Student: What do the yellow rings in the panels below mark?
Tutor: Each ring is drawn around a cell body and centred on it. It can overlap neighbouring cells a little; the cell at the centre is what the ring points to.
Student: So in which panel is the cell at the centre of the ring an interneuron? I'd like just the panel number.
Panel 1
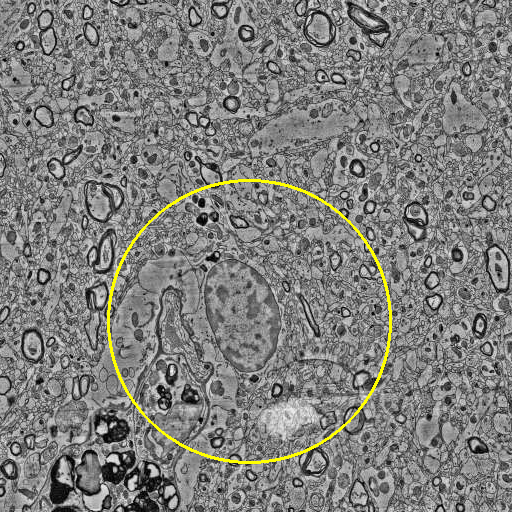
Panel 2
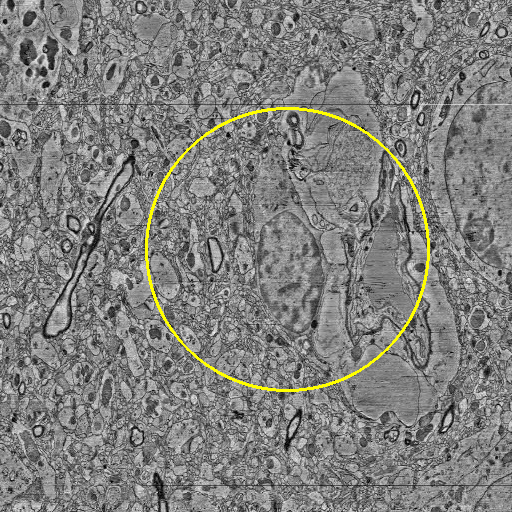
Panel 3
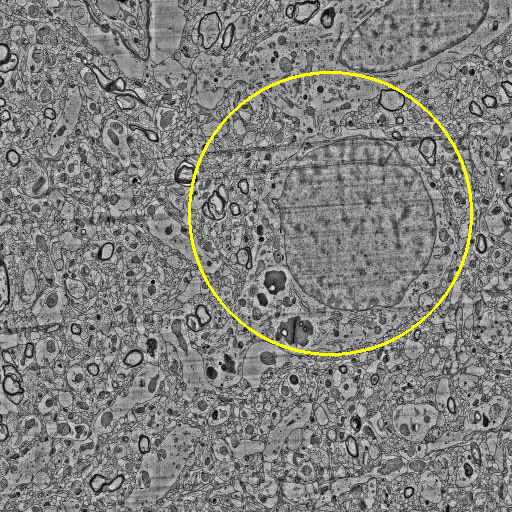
3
